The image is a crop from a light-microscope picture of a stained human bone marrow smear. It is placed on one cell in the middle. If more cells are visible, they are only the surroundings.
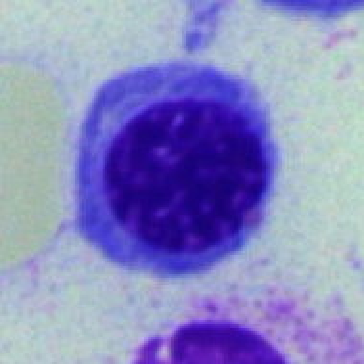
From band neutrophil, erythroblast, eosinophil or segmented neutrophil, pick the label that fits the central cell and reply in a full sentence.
This crop's central cell is an erythroblast.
